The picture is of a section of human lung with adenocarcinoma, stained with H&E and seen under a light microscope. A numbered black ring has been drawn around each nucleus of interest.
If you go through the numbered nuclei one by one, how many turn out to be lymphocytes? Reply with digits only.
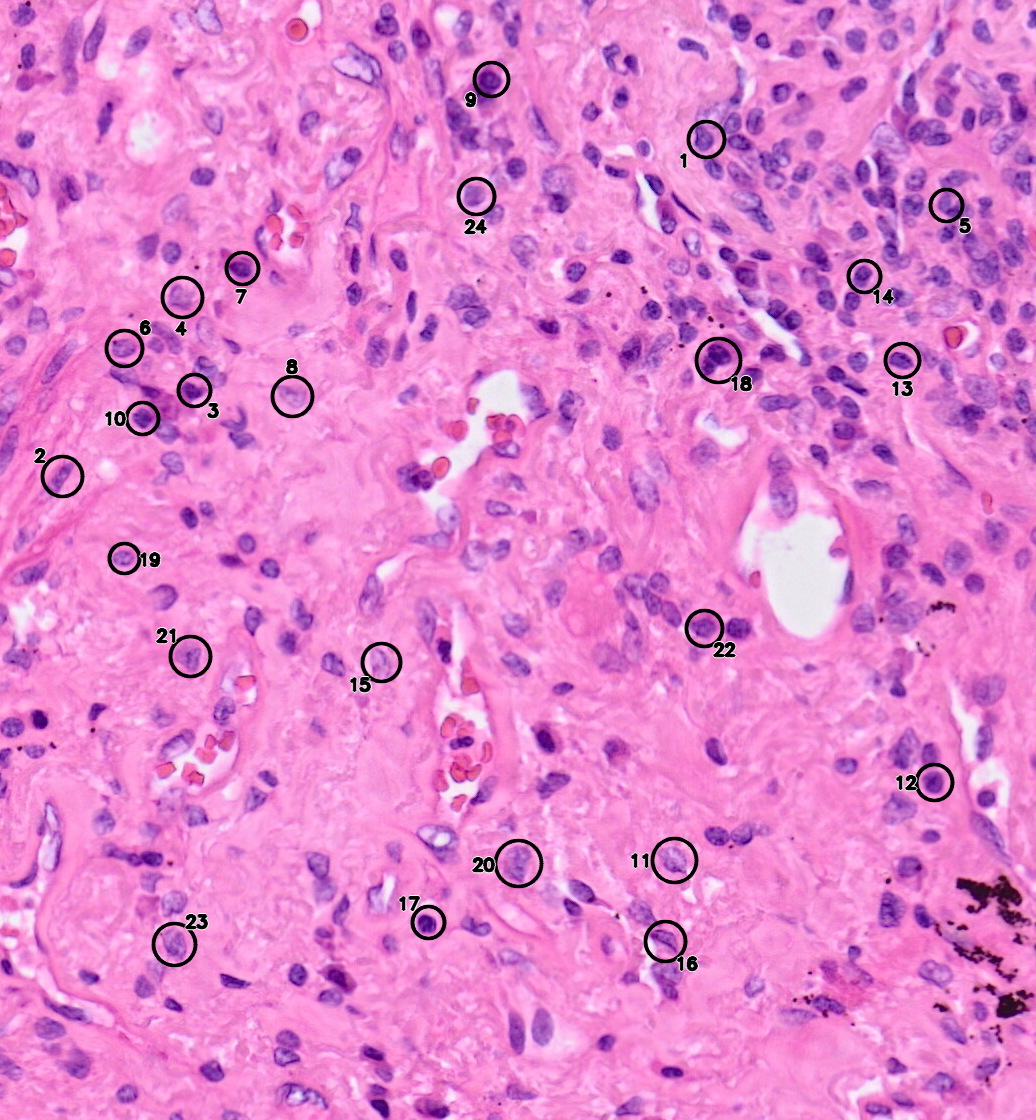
8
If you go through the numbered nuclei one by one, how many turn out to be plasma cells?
5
